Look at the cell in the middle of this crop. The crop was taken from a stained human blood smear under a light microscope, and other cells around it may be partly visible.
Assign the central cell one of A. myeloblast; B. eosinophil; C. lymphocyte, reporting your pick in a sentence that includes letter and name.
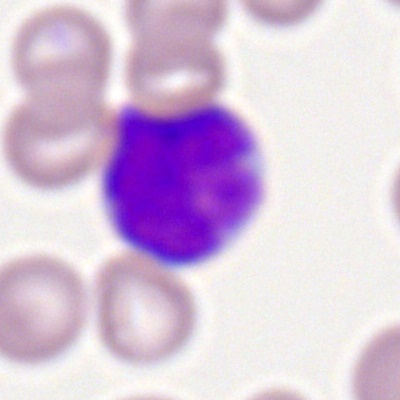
For this crop, option A is right, the centered cell being a myeloblast.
